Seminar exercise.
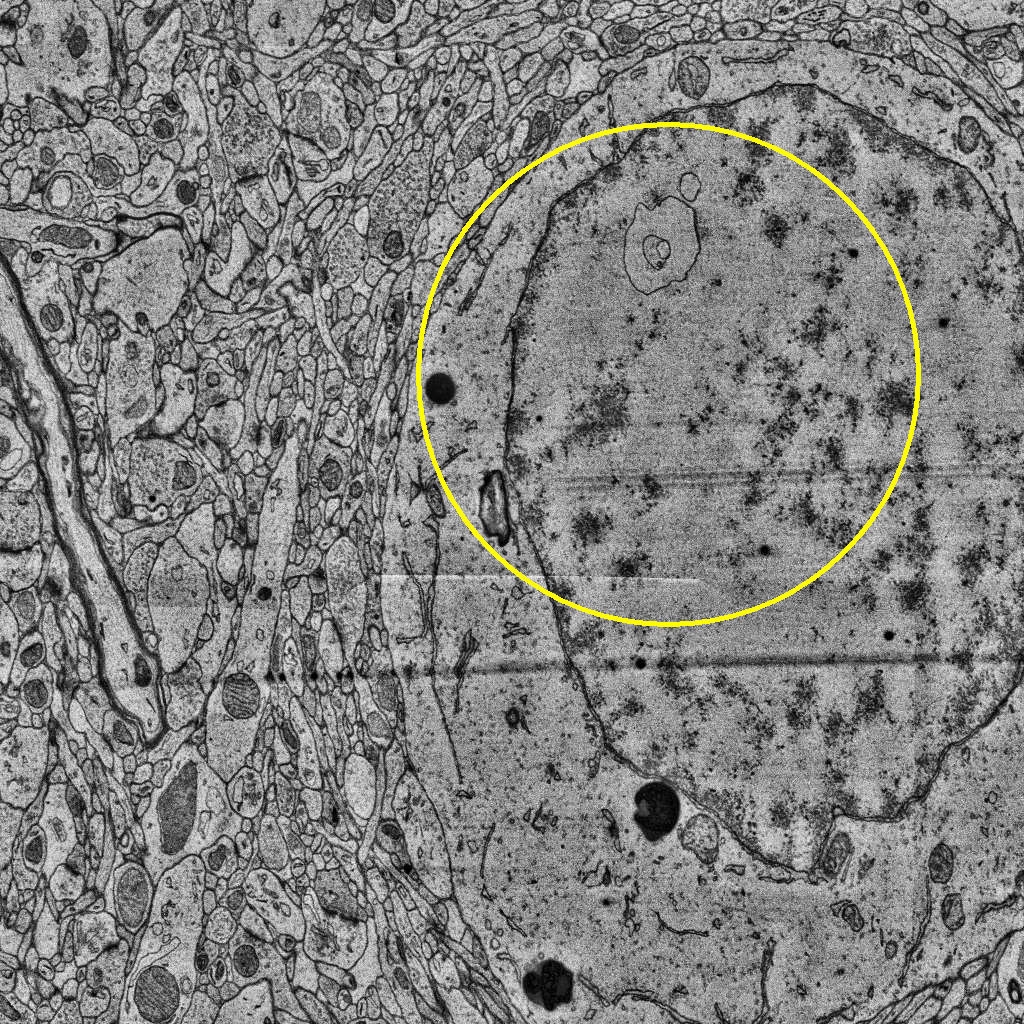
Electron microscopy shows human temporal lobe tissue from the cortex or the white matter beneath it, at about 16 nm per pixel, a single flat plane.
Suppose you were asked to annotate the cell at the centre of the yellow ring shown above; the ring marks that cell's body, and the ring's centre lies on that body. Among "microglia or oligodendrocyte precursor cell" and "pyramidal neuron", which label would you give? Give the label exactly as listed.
pyramidal neuron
